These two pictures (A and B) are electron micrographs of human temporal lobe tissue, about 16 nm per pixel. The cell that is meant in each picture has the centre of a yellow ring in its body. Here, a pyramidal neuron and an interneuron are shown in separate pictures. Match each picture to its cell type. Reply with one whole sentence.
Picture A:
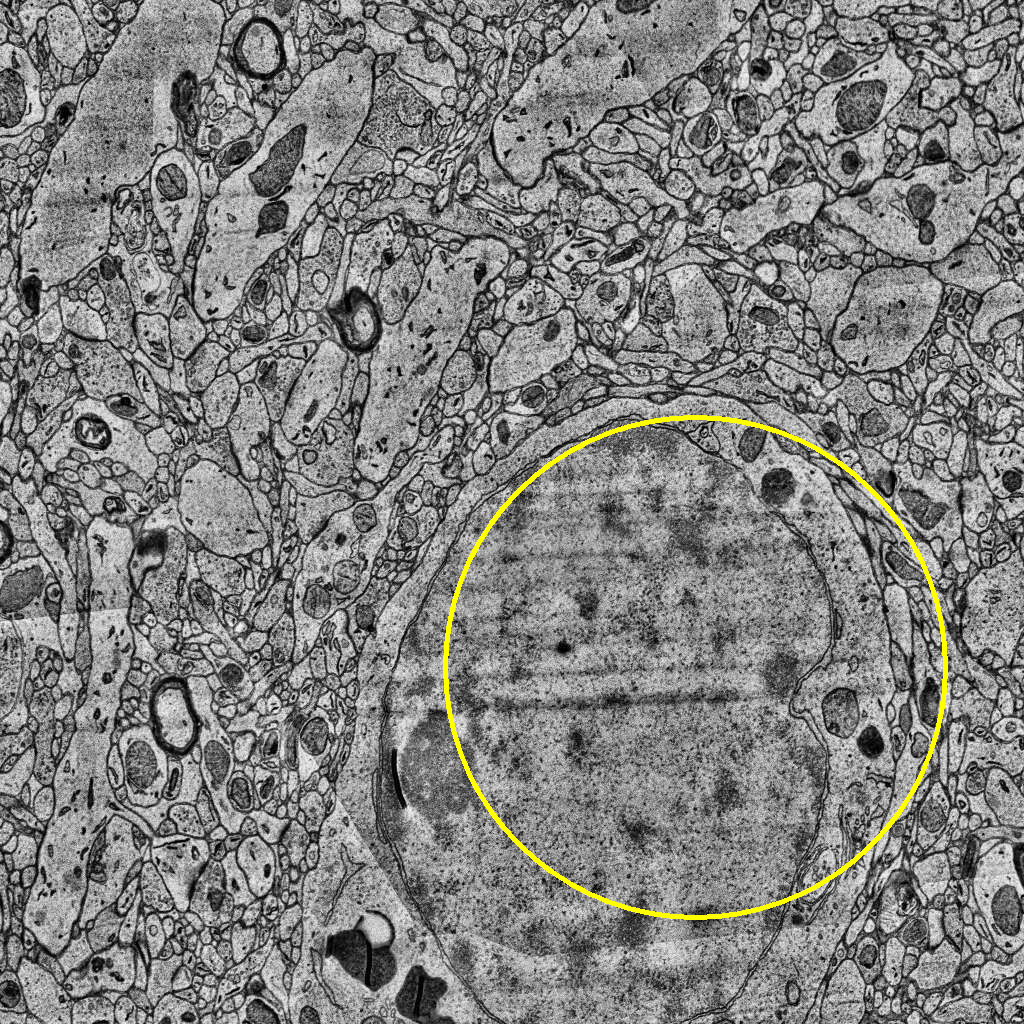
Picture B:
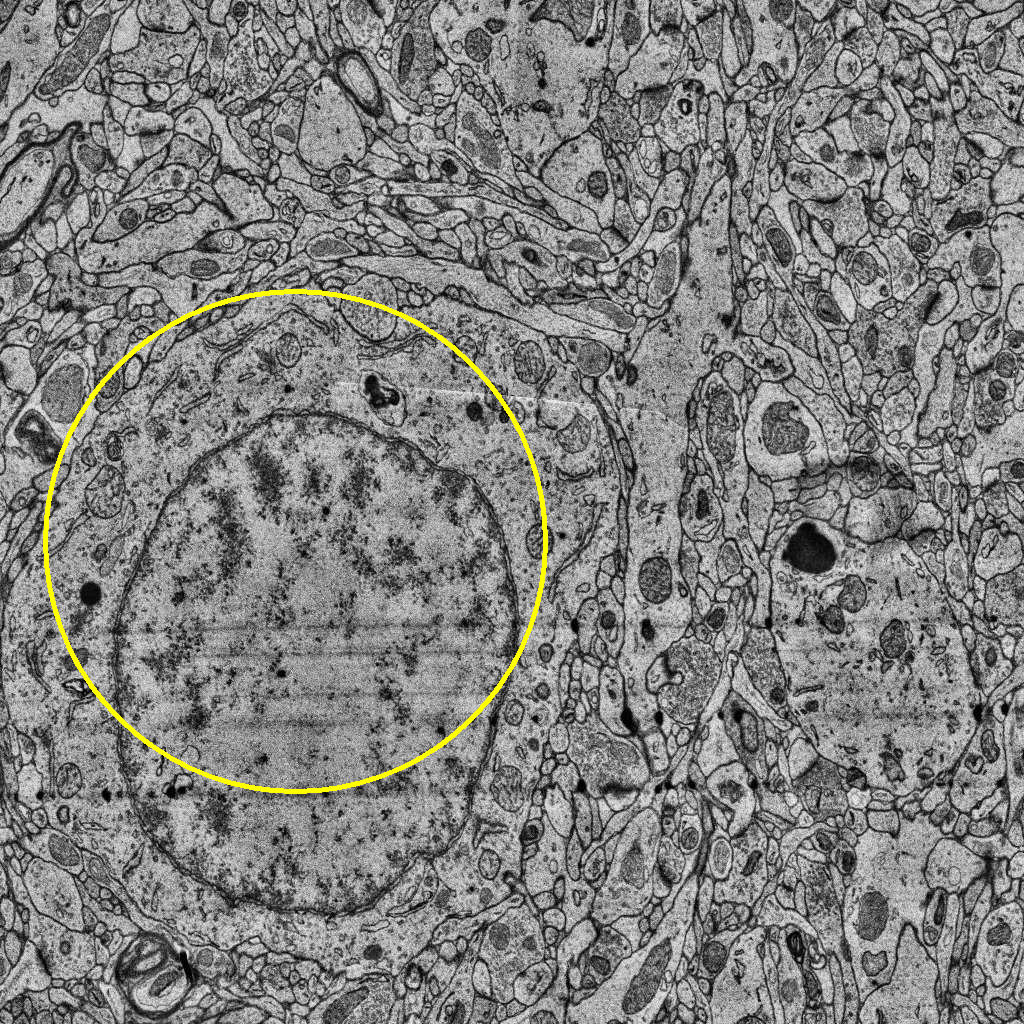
Picture A is of an interneuron, and picture B is of a pyramidal neuron.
